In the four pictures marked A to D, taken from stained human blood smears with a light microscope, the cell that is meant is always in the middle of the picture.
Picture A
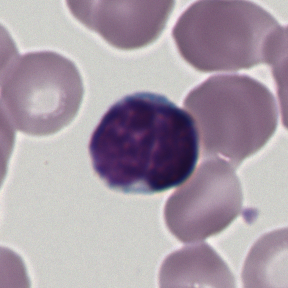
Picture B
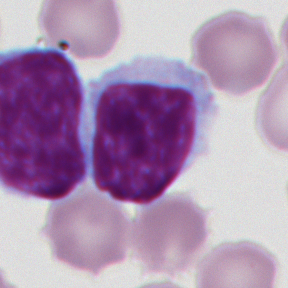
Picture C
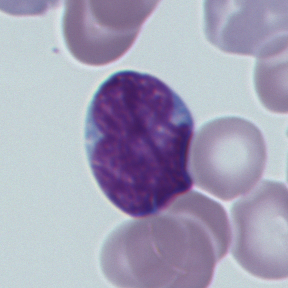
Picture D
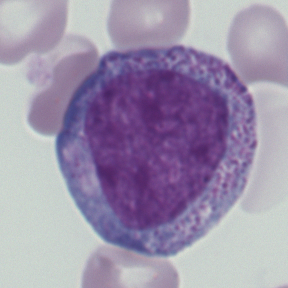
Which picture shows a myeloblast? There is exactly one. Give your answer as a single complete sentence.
The picture with the myeloblast is C.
